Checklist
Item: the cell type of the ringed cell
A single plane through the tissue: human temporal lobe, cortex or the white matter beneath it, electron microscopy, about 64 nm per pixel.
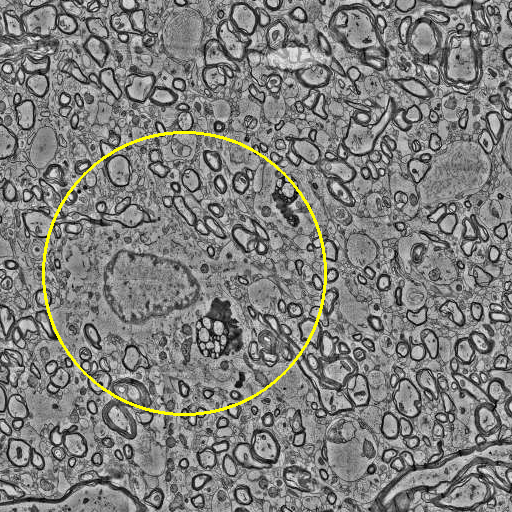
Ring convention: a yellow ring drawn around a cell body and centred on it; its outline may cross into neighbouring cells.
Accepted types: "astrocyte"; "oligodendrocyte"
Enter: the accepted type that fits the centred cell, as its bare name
astrocyte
